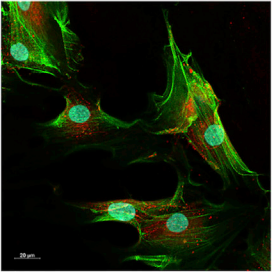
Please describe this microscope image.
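Green filaments form thick parallel bundles that run the length of the cell bodies and into long tapering processes, giving the cells a striated, stretched look. Fine red dots are scattered through the cytoplasm, densest around the nuclei and thinning toward the cell margins. Dark gaps separate the cell groups, where no cytoplasm is present.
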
